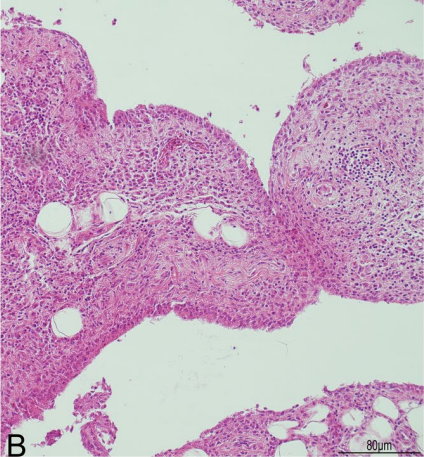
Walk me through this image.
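Fronds of synovial tissue are covered by a thickened surface layer several cells deep, and beneath it lies a dense stroma. The stroma holds pink fibrous tissue with spindle-shaped fibroblasts, crowded among many small round dark-staining nuclei of inflammatory cells. A few small vessels and round clear fat vacuoles are scattered within it. The picture is of a chronic synovitis with an enlarged lining layer and abundant inflammatory infiltrate in a fibrotic stroma.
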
